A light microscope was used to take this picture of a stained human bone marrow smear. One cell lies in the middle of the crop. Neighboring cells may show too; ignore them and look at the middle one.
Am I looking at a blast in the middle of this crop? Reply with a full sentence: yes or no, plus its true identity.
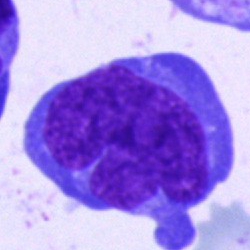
Yes, the crop's central cell is a blast.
